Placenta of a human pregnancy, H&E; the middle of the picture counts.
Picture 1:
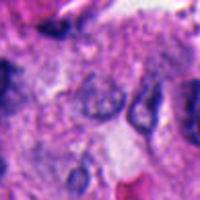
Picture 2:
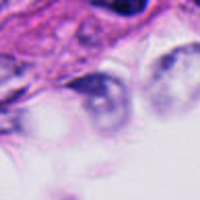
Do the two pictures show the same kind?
Yes, both are cytotrophoblasts.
